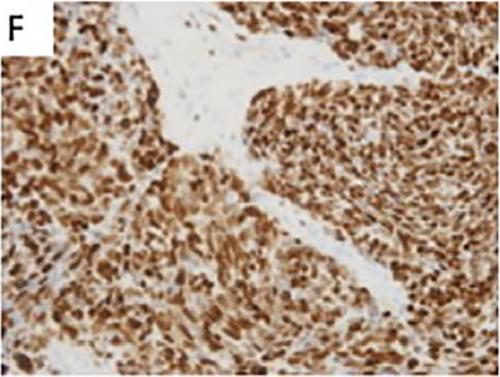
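Nearly every tumor nucleus in the sheets is brown, and the nuclei are oval to elongated and tightly packed. The cells form solid nests separated by narrow pale strands of stroma, where the few nuclei are light blue and unstained. The cytoplasm between the brown nuclei is scant and barely visible.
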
